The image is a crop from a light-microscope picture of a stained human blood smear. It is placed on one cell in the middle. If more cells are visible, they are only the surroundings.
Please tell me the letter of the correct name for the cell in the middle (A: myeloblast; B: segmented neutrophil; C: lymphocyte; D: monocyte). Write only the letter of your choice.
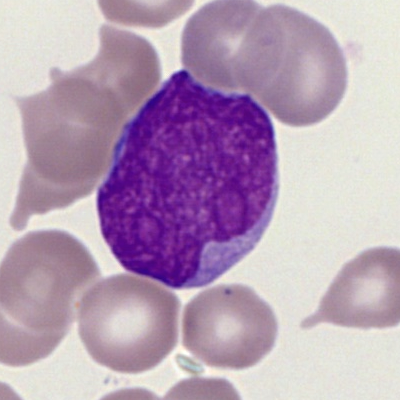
A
